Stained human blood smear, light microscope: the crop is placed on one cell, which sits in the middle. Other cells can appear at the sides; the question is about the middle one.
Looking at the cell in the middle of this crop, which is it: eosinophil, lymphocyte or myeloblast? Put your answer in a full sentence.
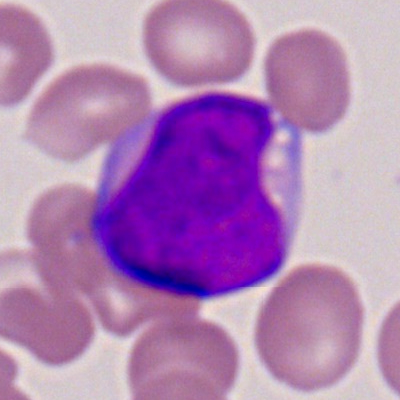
The crop centres on a single cell, and that cell is a myeloblast.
